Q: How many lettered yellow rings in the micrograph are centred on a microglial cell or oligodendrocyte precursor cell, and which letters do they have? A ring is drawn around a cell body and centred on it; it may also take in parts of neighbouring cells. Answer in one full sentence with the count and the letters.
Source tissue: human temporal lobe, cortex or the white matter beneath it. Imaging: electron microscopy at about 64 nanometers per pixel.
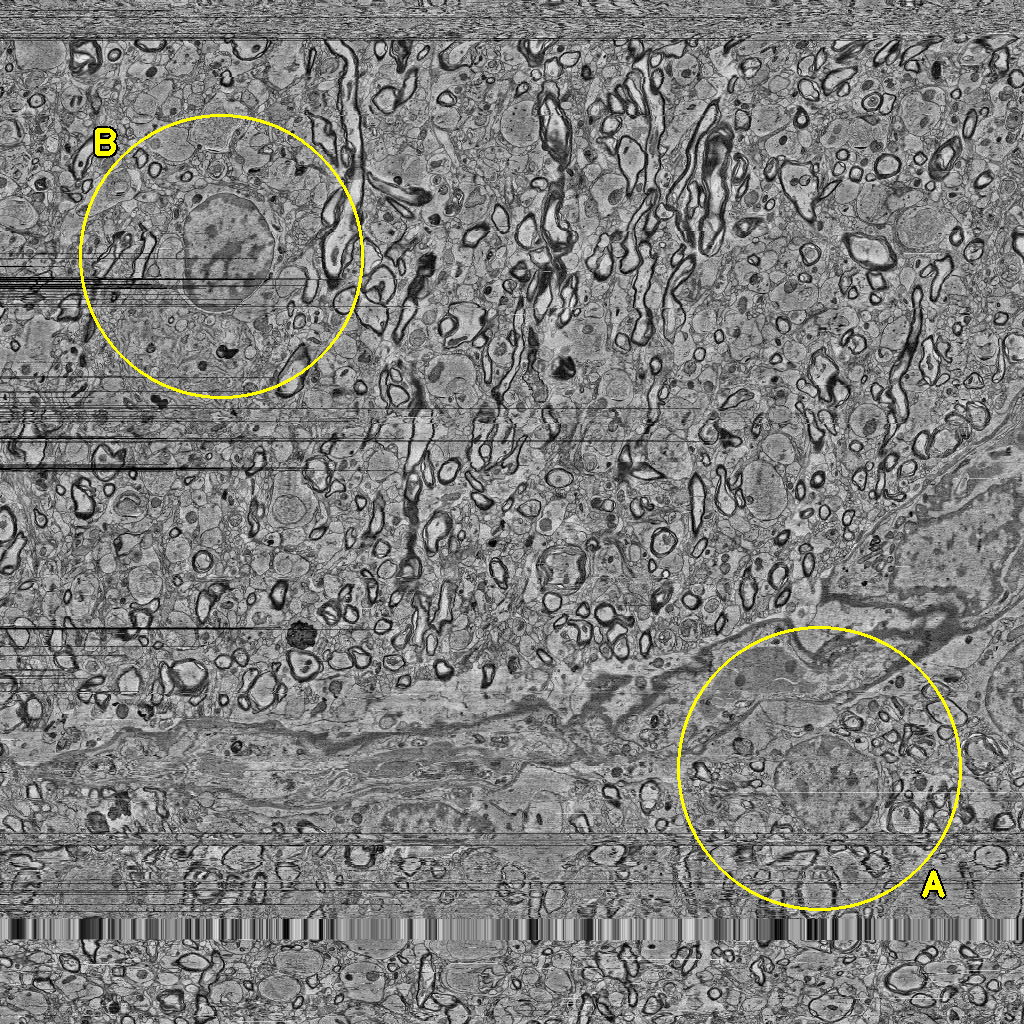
Of the yellow rings shown, only one centres on a microglial cell or oligodendrocyte precursor cell, and its label is B.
